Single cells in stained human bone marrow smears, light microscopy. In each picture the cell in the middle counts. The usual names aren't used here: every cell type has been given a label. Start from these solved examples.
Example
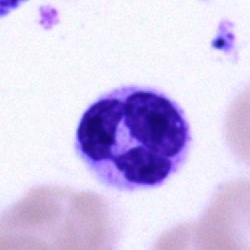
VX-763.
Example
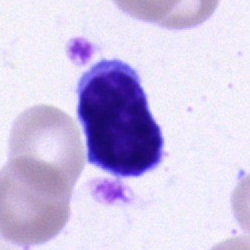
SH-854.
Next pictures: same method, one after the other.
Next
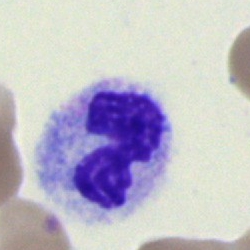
VX-763.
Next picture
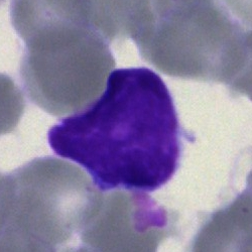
SH-854.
